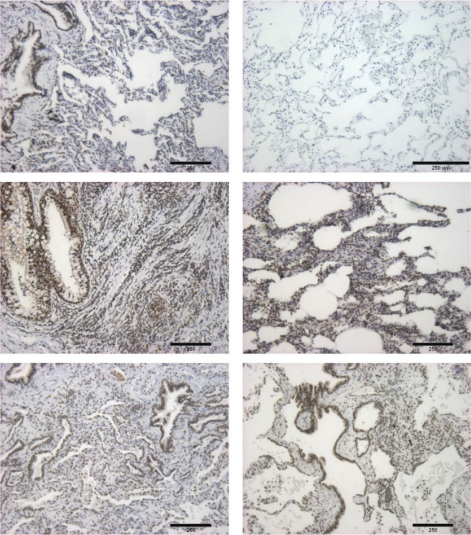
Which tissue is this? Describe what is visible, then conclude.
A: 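Thin-walled, open airspaces separated by delicate septa in the top right image. Branching tubes lined by a columnar epithelium cut in several images.
Hence: lung tissue.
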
